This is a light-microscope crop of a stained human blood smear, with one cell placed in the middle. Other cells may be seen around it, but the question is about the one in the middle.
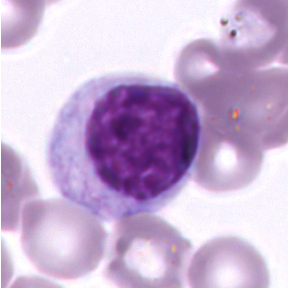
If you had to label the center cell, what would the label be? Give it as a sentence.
The single cell at the center of the crop is a myelocyte.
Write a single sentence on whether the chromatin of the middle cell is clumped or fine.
The chromatin pattern here is coarse and clumped.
